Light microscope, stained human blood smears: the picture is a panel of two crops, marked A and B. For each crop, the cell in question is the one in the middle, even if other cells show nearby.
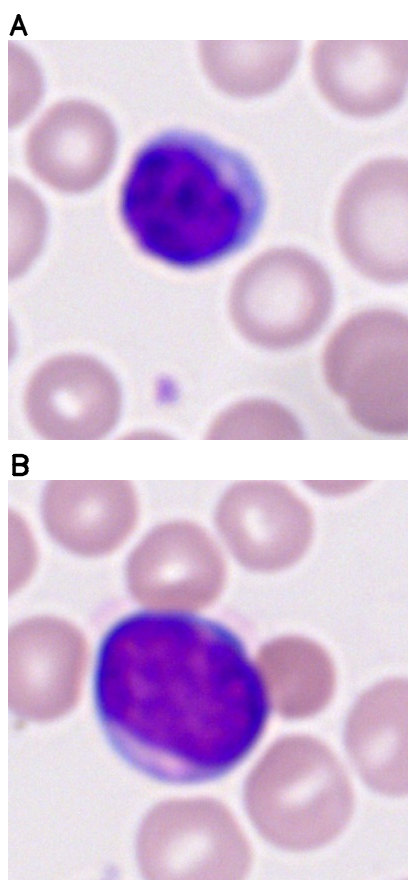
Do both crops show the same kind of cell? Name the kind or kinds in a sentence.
No, in crop B the central cell is a myeloblast, and in crop A it is a lymphocyte.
